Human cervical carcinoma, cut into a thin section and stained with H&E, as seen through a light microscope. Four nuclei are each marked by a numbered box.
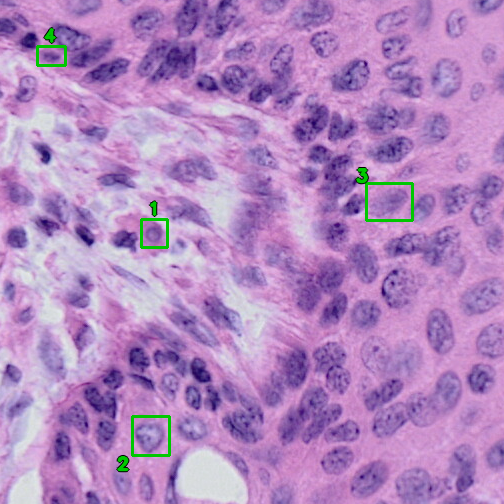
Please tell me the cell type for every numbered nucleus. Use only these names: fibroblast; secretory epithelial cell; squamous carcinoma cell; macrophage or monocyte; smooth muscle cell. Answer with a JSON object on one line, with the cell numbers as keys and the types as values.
{"1": "macrophage or monocyte", "2": "squamous carcinoma cell", "3": "squamous carcinoma cell", "4": "squamous carcinoma cell"}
